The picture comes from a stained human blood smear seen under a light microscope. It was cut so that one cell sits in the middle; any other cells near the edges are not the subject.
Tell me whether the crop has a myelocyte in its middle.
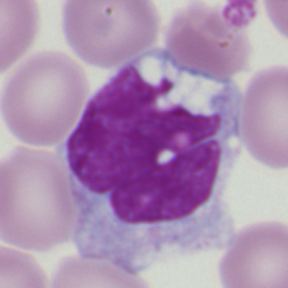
no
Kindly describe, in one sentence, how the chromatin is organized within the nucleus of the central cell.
The chromatin is delicate and fine, lacking coarse clumping entirely.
